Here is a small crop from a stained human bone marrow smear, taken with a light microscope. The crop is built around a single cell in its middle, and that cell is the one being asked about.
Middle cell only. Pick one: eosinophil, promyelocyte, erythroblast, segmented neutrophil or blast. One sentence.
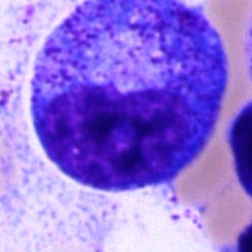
The cell of interest, in the center, is a promyelocyte.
